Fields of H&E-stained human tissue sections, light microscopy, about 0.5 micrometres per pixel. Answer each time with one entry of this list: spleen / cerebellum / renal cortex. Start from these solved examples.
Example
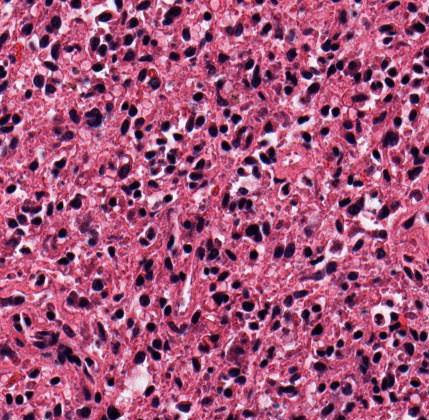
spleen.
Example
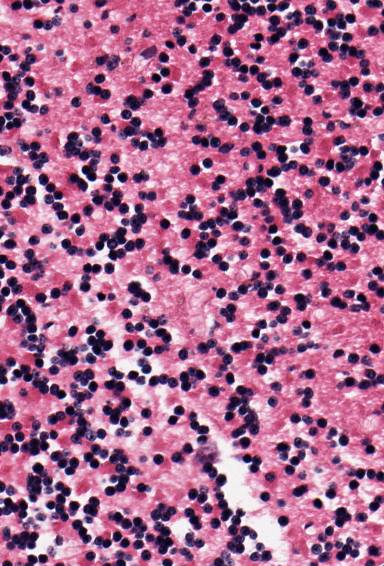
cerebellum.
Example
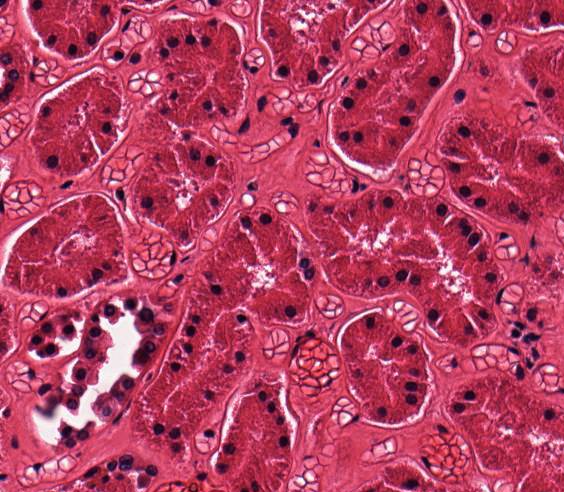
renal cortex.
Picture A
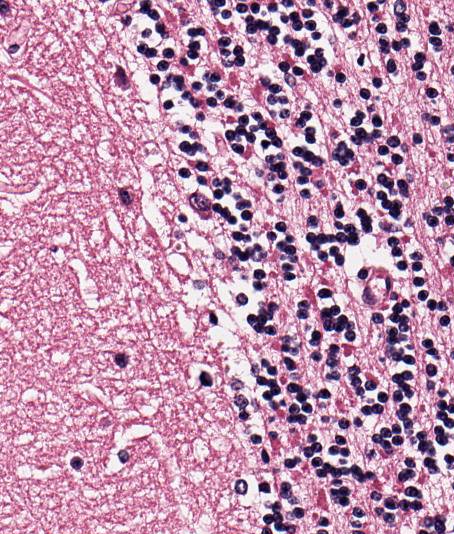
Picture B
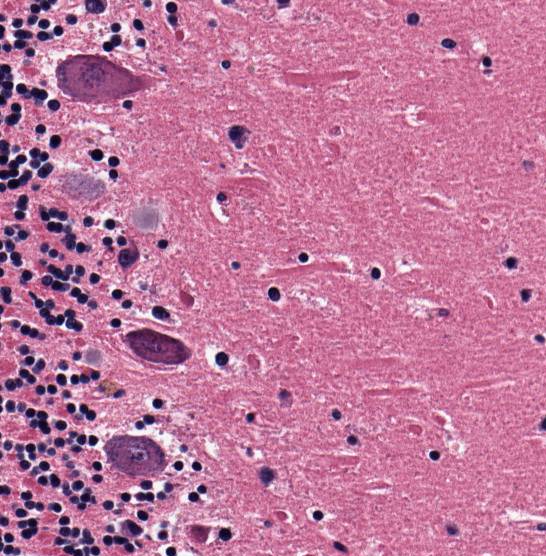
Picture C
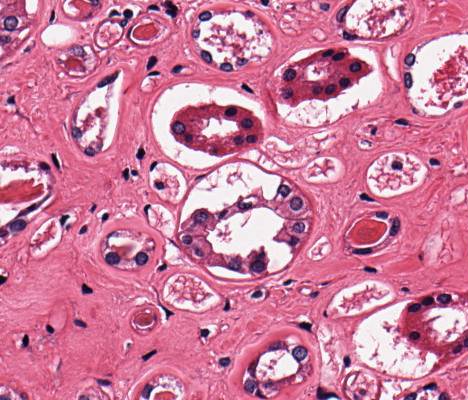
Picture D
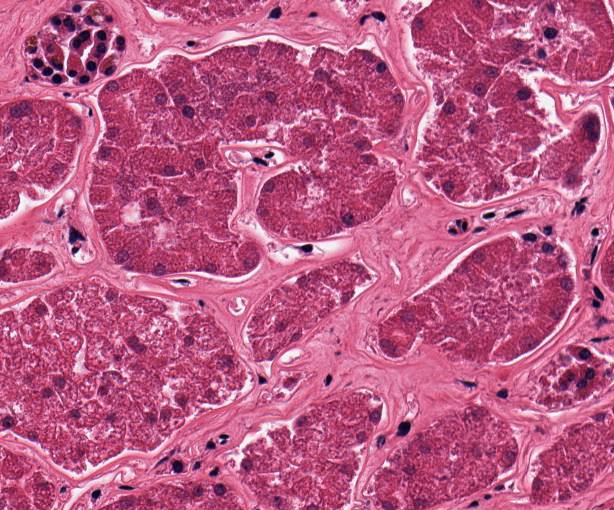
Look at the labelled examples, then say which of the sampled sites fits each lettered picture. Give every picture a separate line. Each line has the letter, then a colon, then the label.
A: cerebellum.
B: cerebellum.
C: renal cortex.
D: renal cortex.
